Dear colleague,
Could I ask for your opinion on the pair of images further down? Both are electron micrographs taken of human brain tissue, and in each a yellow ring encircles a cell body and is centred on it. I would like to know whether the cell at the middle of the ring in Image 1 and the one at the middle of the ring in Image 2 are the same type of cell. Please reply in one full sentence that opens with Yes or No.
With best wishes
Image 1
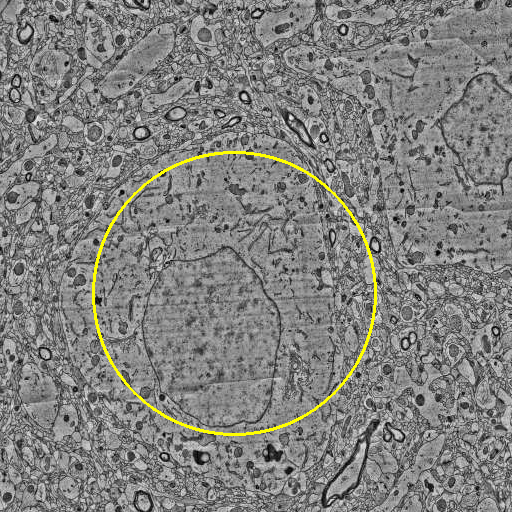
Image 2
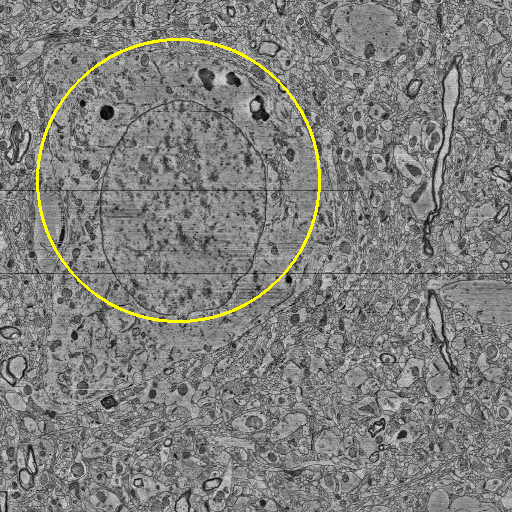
Yes, the cells at the ring centres in Image 1 and Image 2 are of one type.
